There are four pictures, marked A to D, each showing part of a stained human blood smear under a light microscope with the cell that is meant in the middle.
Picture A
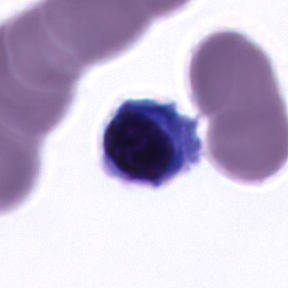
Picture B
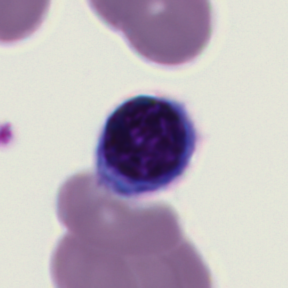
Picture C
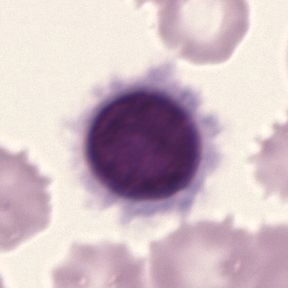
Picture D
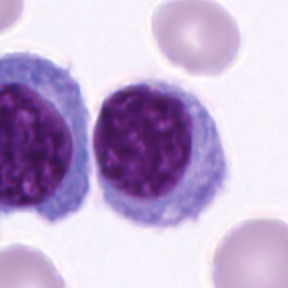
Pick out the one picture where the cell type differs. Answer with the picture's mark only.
C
